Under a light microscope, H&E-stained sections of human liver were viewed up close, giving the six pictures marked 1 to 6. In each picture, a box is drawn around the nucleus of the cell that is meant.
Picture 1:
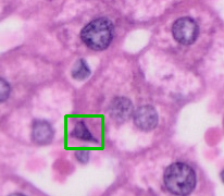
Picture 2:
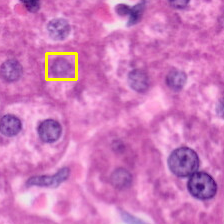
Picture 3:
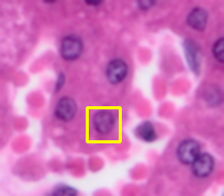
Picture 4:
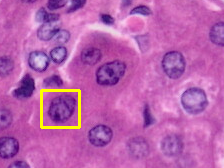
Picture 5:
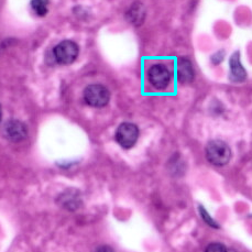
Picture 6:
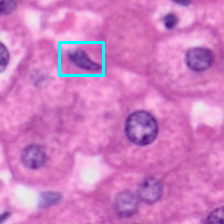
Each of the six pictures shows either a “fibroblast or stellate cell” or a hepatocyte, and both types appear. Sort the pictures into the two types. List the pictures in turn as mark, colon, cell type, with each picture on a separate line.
1: fibroblast or stellate cell
2: hepatocyte
3: hepatocyte
4: hepatocyte
5: hepatocyte
6: fibroblast or stellate cell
